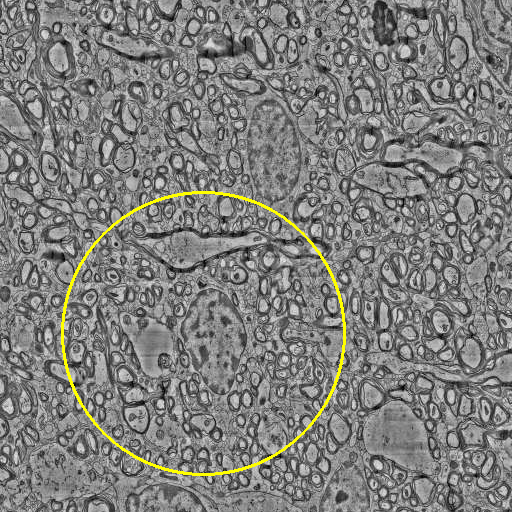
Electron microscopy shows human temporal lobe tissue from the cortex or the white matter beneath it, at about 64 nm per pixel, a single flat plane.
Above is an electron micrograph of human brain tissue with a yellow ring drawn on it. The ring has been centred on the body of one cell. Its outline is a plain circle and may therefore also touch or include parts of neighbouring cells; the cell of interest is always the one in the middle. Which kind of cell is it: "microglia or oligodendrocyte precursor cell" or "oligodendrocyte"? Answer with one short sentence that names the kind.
The ring's central cell body is that of a microglial cell or oligodendrocyte precursor cell.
